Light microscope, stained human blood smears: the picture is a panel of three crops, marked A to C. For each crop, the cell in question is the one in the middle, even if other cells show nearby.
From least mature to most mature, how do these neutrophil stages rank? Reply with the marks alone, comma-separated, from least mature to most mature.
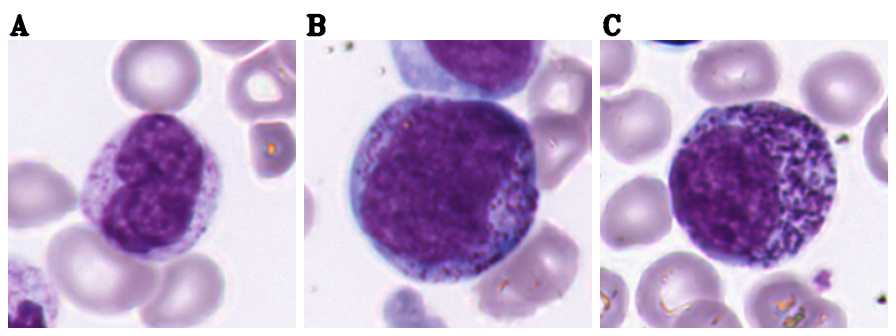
B, C, A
